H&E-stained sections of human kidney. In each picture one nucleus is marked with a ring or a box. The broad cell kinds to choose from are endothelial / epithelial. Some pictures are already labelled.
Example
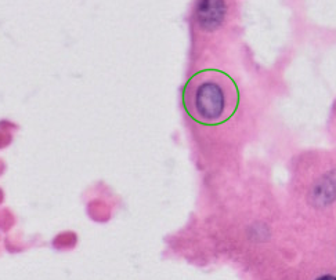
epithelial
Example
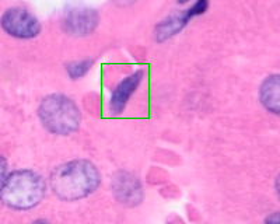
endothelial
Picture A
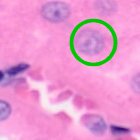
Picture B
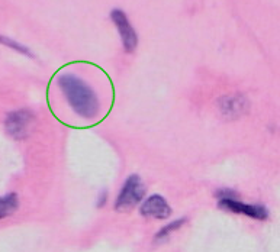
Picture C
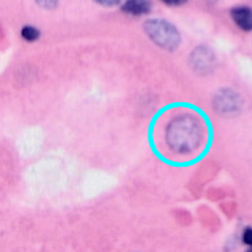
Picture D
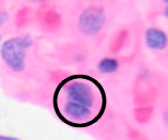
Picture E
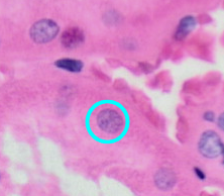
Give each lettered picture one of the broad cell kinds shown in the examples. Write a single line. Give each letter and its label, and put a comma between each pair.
A epithelial, B endothelial, C epithelial, D endothelial, E epithelial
